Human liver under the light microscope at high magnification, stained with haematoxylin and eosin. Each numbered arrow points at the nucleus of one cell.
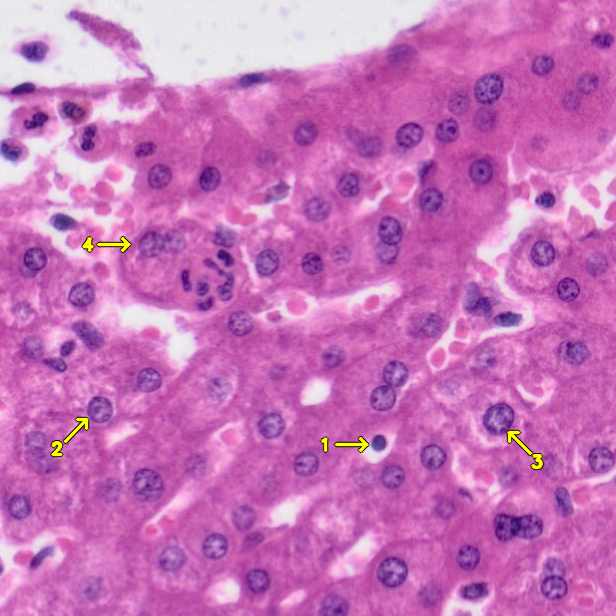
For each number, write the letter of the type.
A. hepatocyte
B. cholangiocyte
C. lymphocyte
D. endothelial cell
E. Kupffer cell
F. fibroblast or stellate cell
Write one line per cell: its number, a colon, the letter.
1: C
2: A
3: A
4: A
